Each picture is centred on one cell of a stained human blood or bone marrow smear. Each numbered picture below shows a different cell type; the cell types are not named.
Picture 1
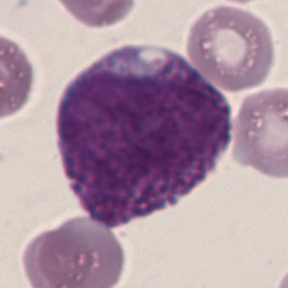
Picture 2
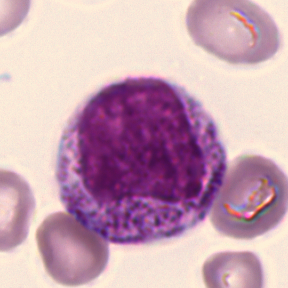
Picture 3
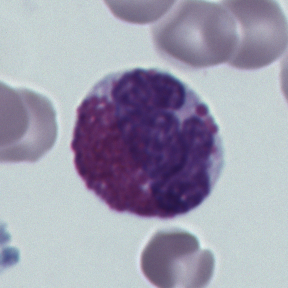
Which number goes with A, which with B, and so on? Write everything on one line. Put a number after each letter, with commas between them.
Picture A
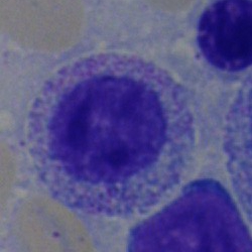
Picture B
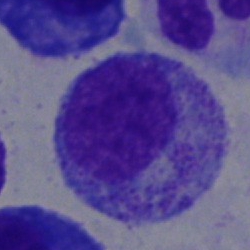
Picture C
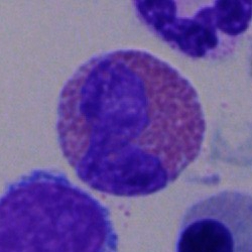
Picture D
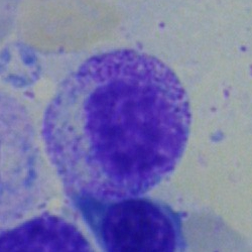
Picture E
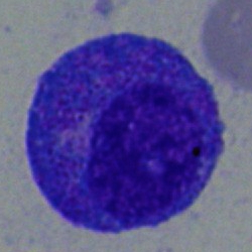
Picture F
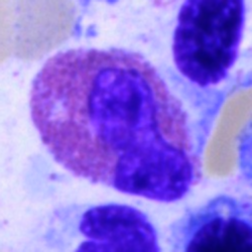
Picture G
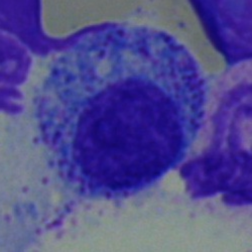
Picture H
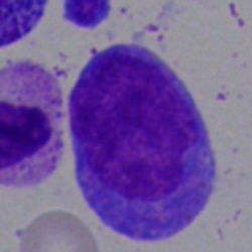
A 2, B 2, C 3, D 2, E 1, F 3, G 2, H 1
